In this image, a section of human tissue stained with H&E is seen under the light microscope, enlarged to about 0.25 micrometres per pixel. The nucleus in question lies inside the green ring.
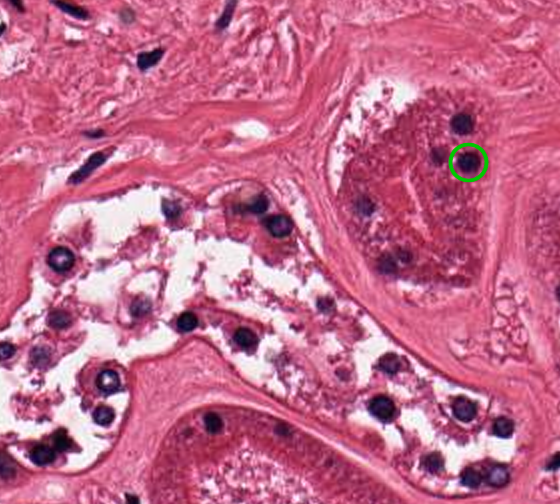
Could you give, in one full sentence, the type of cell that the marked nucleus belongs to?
It is to a proximal tubule cell that the marked nucleus belongs.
